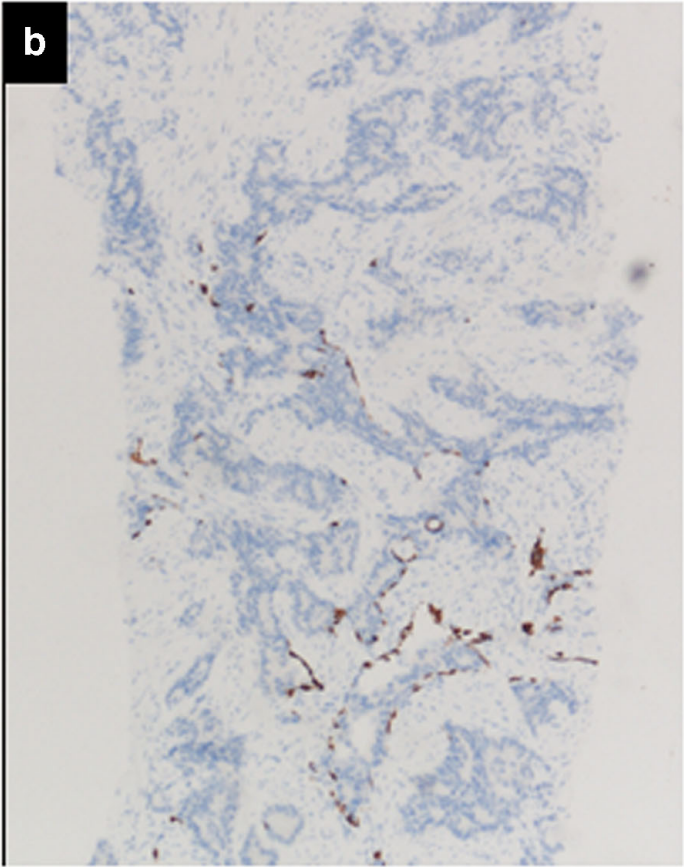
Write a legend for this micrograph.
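The brown-stained cells are thin and elongated, lying along the edges of only some glands, mostly in the lower half of the core. Most of the glands have no brown rim and show only blue nuclei. Where present, the brown layer is broken and patchy rather than continuous.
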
